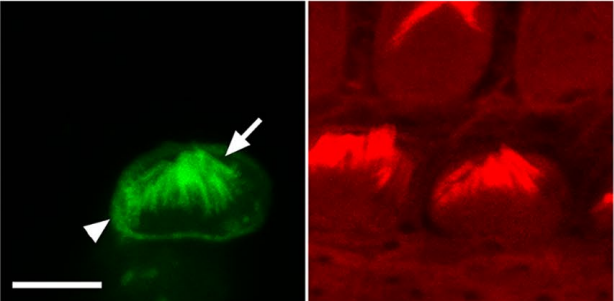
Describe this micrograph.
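This is a surface view of outer hair cells of the organ of Corti, with one cell shown in green. Its stereocilia form a fan of fine bright lines at the upper side of a rounded cell surface, and a thin green line traces the cell's edge at the apical cell junctions.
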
